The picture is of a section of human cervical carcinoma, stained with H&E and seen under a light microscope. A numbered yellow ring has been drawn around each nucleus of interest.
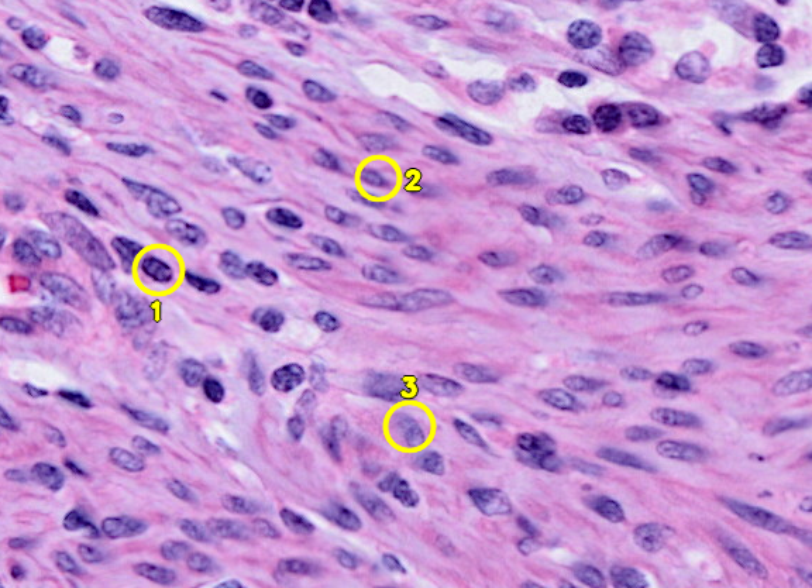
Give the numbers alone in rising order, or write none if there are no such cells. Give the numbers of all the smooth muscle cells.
2, 3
